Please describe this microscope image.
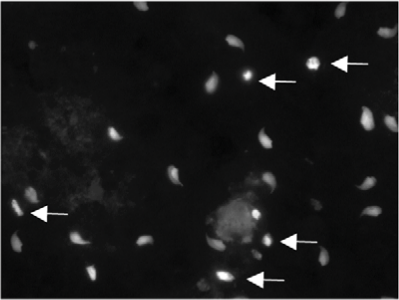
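Dispersed spermatozoa show their nuclei as bright white heads on a dark background, most with the hooked, crescent outline typical of rodent sperm. A few heads are instead small, rounded and more intensely bright, lacking the hook, and are abnormally shaped sperm nuclei.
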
